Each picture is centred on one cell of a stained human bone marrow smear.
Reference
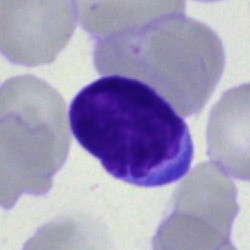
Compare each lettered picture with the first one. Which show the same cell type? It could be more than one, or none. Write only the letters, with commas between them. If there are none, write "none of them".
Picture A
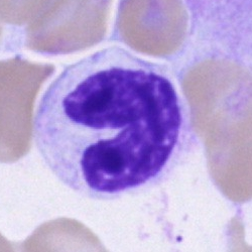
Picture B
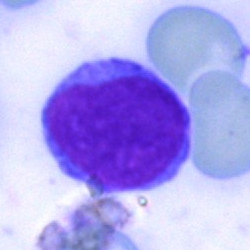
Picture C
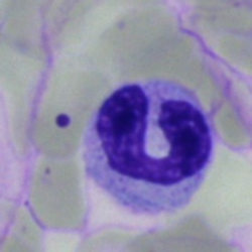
B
